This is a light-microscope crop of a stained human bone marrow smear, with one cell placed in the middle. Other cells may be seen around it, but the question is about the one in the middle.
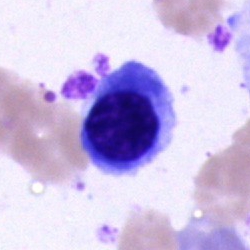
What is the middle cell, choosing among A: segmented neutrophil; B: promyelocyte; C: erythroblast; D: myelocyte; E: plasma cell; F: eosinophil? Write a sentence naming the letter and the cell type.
Here the central cell is an erythroblast, and option C is correct.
